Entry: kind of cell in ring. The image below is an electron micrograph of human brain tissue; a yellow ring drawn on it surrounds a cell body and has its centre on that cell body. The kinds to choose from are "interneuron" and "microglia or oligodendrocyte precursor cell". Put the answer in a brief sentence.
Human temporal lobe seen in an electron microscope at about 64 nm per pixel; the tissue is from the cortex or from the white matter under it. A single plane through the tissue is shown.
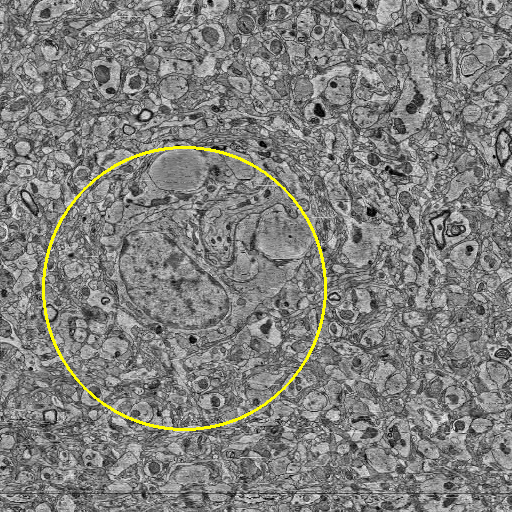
The ring has been drawn around a microglial cell or oligodendrocyte precursor cell.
